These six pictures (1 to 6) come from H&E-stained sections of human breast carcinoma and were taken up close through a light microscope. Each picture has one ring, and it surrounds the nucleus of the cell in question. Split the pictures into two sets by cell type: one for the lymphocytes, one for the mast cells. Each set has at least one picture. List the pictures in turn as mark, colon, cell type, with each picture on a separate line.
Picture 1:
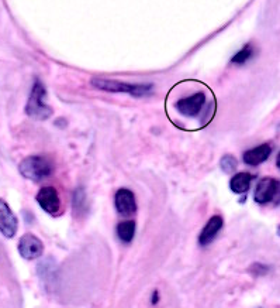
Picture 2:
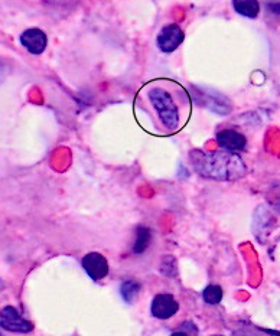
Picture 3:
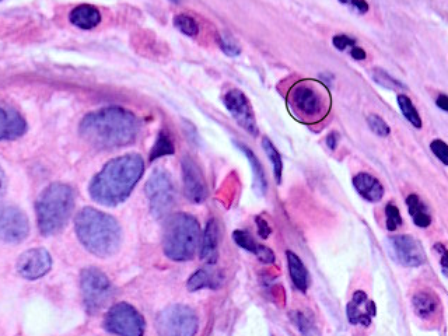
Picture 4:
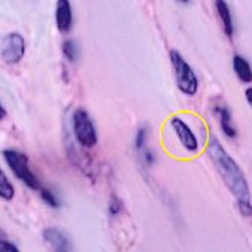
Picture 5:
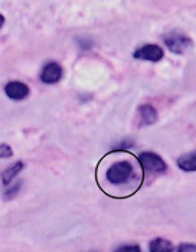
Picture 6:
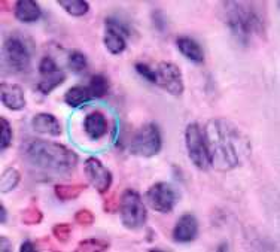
1: lymphocyte
2: mast cell
3: mast cell
4: lymphocyte
5: lymphocyte
6: lymphocyte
